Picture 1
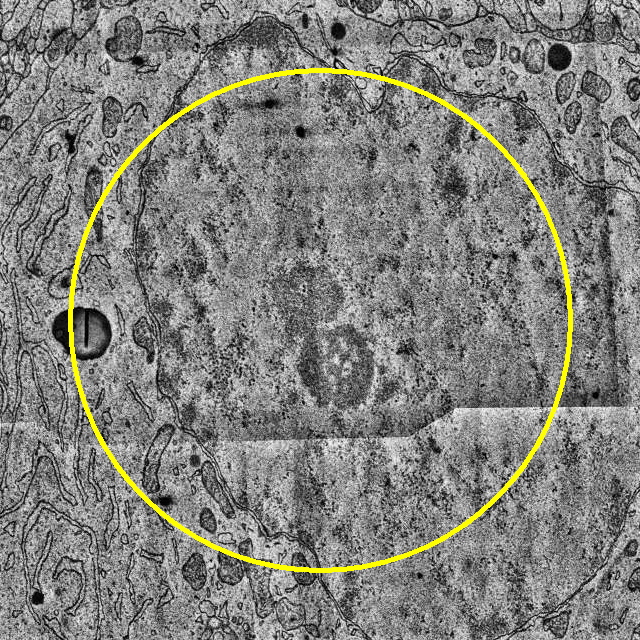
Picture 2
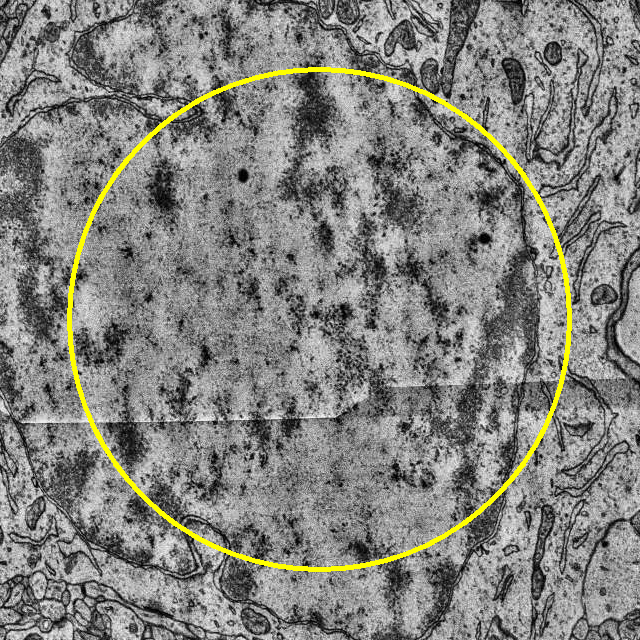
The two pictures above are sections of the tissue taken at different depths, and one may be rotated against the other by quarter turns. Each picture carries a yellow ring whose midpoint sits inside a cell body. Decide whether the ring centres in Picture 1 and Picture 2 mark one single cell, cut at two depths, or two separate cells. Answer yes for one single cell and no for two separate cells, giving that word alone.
yes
